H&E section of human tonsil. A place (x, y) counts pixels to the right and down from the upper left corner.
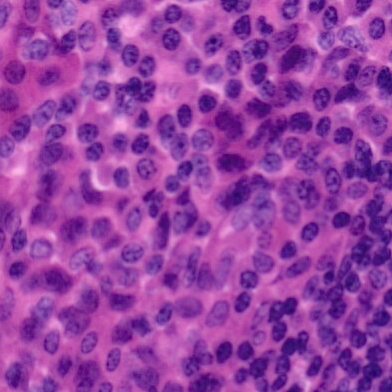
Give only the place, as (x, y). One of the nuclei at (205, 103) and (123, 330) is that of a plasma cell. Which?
(205, 103)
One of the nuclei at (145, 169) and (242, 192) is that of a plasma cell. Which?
(145, 169)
